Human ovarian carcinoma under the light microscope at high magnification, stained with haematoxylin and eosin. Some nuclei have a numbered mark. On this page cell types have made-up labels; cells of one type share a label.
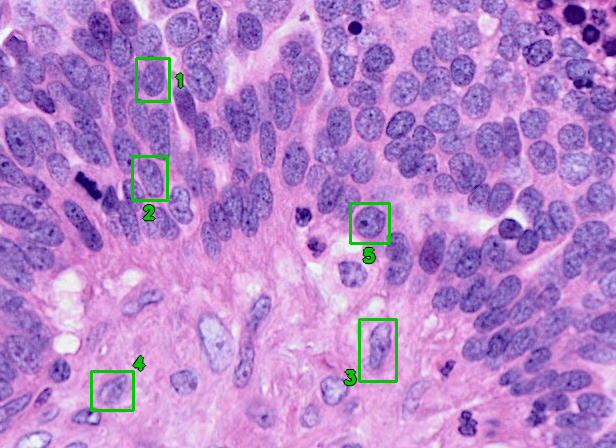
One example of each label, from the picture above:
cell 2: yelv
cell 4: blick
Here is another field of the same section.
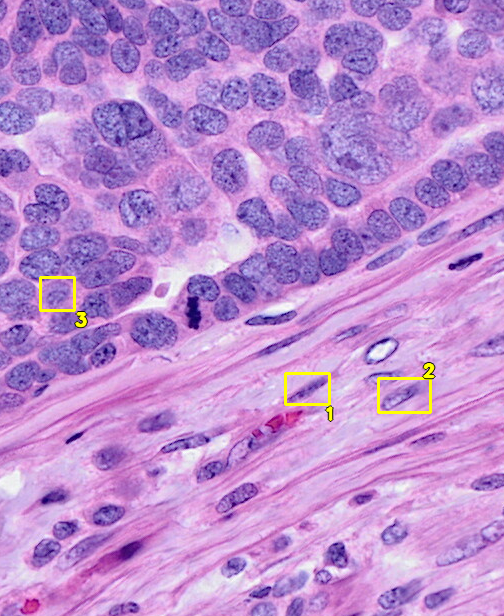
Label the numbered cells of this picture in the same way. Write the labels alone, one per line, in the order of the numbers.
blick
blick
yelv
